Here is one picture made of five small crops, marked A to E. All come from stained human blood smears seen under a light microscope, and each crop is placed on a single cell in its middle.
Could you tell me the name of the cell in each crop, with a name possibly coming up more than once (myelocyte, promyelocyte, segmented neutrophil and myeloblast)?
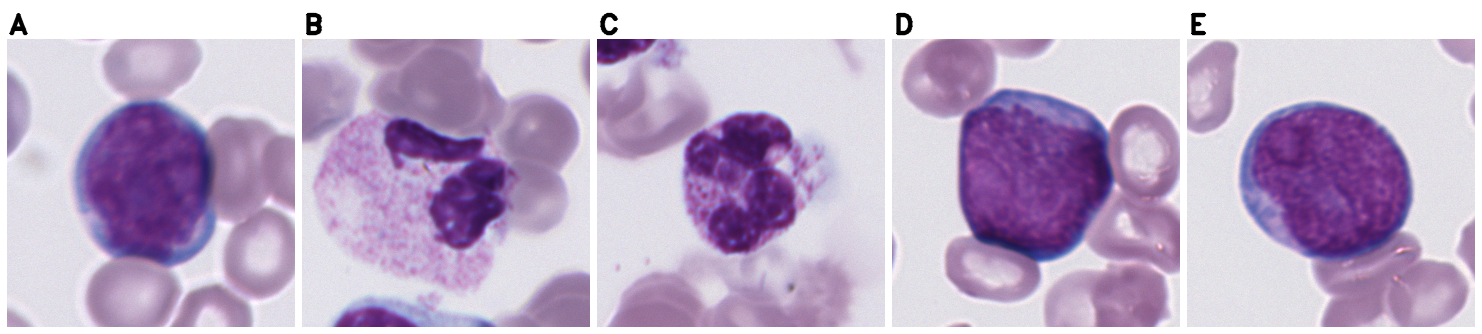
A: myeloblast
B: segmented neutrophil
C: segmented neutrophil
D: myeloblast
E: myeloblast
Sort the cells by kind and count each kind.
myeloblast: 3
segmented neutrophil: 2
